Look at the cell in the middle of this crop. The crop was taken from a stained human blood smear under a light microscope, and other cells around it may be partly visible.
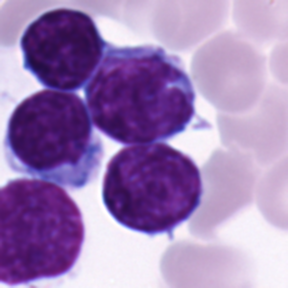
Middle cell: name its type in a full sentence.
Looking at the middle of the crop, the cell there is a myeloblast.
